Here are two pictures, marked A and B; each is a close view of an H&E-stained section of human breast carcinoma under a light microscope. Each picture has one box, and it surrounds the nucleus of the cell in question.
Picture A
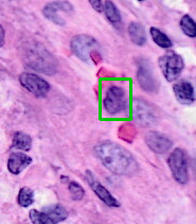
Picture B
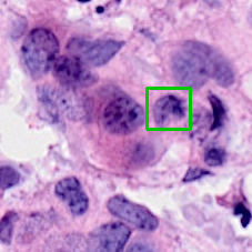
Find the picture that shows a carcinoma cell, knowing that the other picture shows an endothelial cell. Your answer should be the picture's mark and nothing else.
B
